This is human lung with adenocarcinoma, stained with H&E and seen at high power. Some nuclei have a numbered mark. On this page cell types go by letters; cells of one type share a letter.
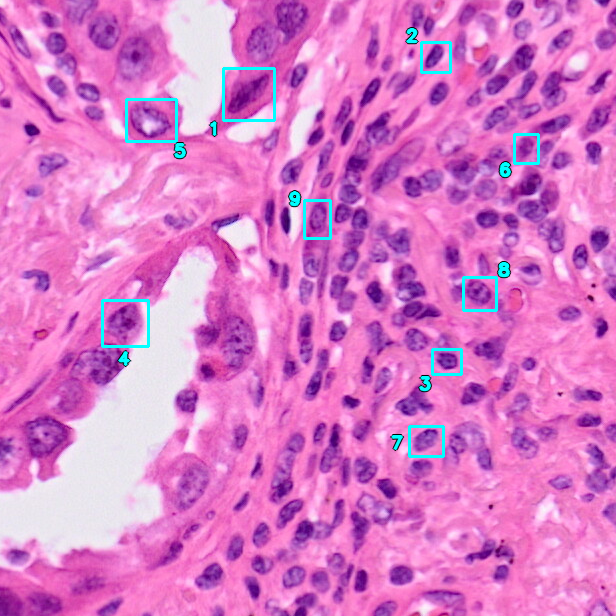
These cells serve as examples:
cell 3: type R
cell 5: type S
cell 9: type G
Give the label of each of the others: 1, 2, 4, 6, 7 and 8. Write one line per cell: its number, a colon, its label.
1: type S
2: type R
4: type S
6: type G
7: type R
8: type G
